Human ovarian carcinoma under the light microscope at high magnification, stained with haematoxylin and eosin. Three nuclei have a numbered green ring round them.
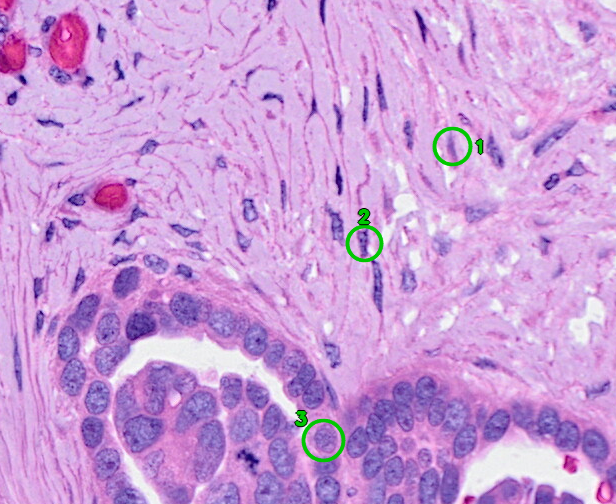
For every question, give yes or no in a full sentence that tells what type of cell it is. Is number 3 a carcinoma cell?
Yes, in this section the cell with number 3 is a carcinoma cell.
